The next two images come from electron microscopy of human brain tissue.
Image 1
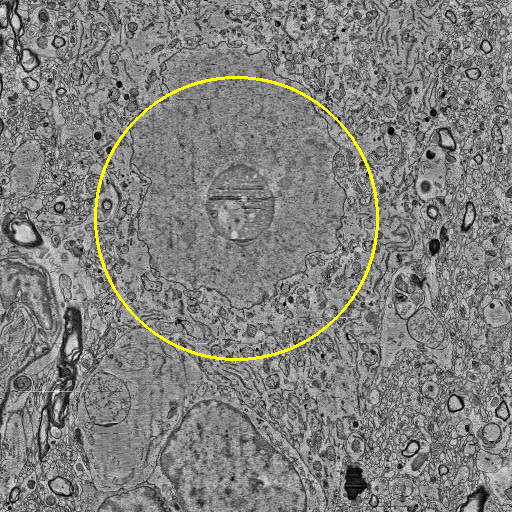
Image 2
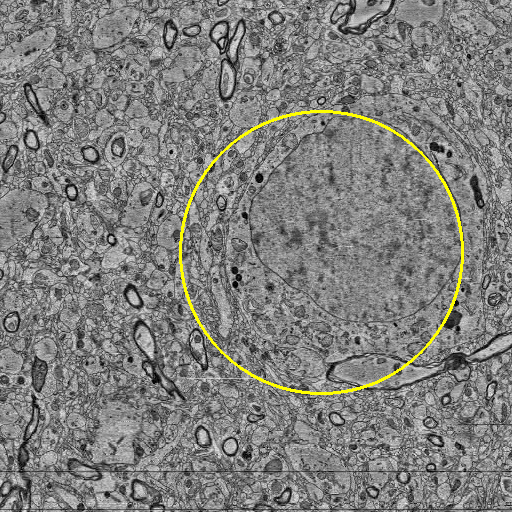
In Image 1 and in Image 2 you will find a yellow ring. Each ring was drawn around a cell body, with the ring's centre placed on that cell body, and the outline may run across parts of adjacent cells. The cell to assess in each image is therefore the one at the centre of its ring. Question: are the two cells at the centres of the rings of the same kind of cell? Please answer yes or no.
yes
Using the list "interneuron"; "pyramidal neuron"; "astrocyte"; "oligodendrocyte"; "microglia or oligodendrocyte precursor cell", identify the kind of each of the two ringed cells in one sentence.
In both pictures the ring is centred on a pyramidal neuron.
